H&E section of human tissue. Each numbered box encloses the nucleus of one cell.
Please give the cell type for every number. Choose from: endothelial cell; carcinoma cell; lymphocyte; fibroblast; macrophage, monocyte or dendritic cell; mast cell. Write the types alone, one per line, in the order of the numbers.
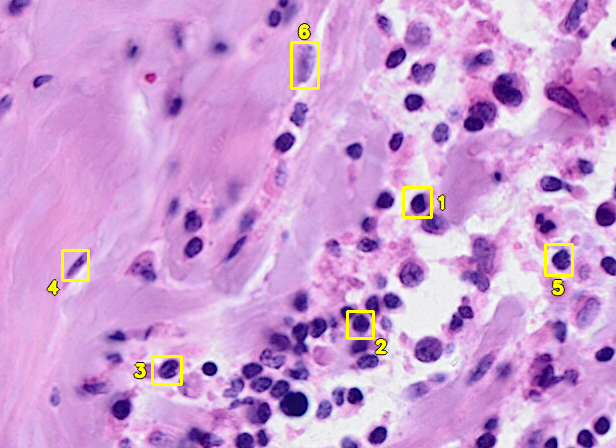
lymphocyte
lymphocyte
lymphocyte
fibroblast
lymphocyte
fibroblast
